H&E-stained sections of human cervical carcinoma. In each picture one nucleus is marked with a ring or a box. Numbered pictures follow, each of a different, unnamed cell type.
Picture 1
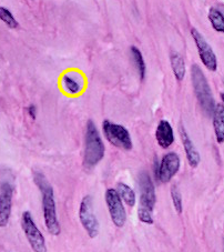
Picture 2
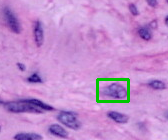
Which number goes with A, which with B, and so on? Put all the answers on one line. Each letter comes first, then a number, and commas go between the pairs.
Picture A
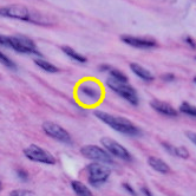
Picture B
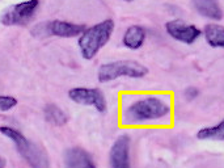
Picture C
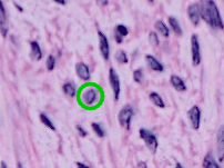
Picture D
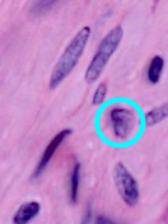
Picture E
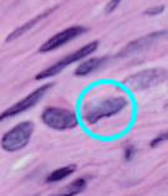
A 2, B 1, C 2, D 1, E 1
